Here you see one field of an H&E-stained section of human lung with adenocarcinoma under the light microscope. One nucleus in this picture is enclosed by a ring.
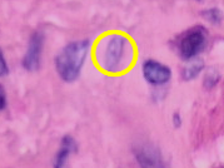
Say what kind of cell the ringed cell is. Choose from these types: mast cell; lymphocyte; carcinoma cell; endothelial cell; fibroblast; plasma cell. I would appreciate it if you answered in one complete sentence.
In short, the ringed cell on this section is a fibroblast.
